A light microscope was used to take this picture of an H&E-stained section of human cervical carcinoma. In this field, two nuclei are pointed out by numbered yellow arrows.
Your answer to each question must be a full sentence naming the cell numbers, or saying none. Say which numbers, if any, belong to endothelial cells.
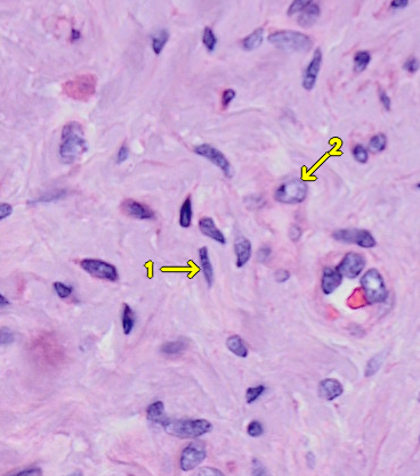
Only one marked cell, number 2, is an endothelial cell.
